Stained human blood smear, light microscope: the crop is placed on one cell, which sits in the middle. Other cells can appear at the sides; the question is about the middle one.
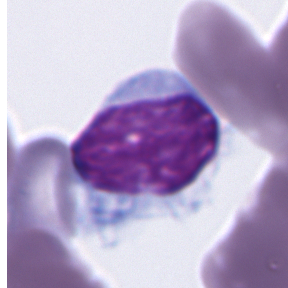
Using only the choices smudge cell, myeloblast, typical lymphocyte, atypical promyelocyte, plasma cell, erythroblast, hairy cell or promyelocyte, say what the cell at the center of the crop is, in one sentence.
The crop centres on a single cell, and that cell is a hairy cell.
